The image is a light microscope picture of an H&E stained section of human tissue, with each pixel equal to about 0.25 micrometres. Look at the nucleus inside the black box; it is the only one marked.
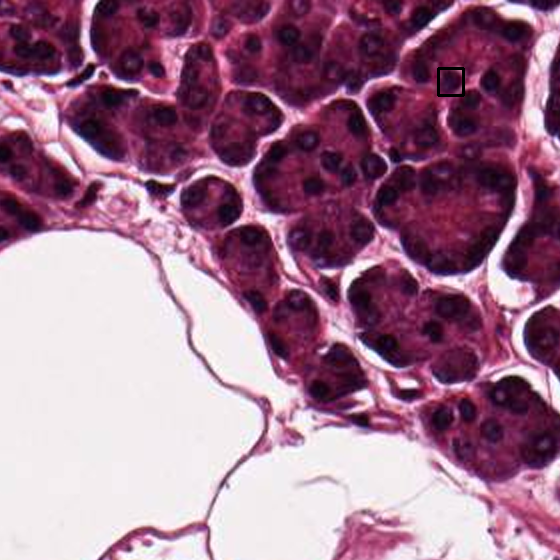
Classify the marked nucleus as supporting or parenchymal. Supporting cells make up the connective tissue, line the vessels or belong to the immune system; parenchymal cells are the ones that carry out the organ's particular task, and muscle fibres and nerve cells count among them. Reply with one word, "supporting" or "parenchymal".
parenchymal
